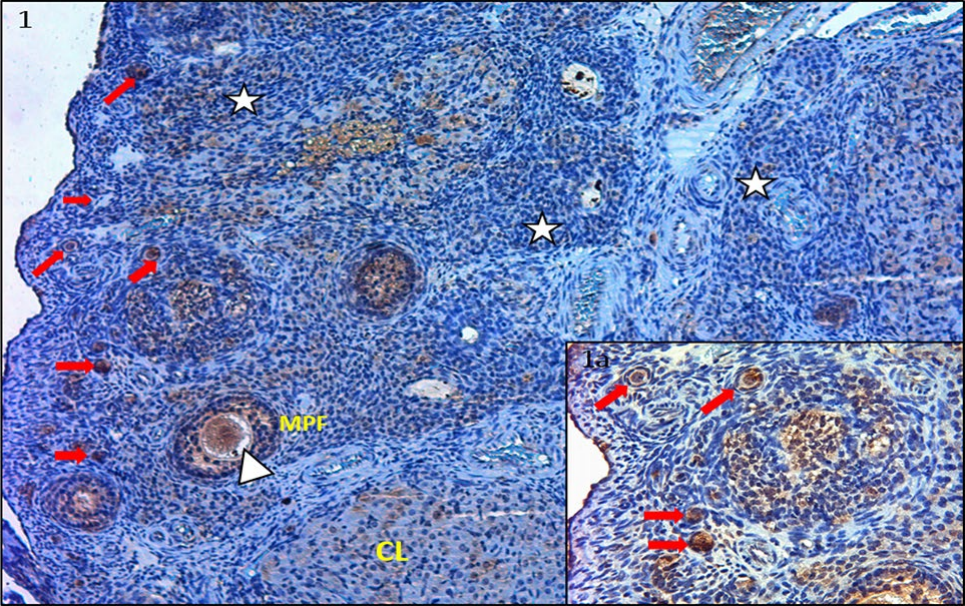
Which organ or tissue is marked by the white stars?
stroma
